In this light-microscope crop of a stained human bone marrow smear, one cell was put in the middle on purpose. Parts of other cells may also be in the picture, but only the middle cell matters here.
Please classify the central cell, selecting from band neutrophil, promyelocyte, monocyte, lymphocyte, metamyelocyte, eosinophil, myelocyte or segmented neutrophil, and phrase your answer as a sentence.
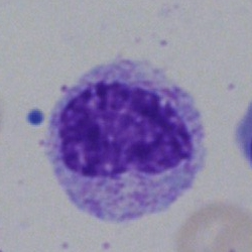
The cell of interest, located centrally, is a metamyelocyte.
